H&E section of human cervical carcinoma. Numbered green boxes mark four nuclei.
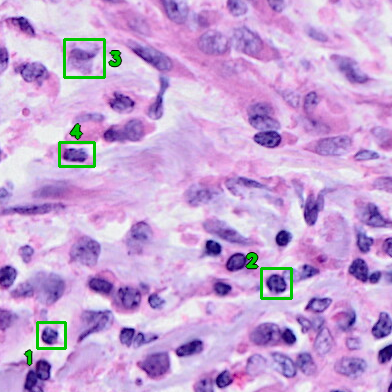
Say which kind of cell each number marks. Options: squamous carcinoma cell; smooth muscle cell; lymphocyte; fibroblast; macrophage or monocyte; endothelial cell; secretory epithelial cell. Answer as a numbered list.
1. lymphocyte
2. lymphocyte
3. fibroblast
4. lymphocyte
